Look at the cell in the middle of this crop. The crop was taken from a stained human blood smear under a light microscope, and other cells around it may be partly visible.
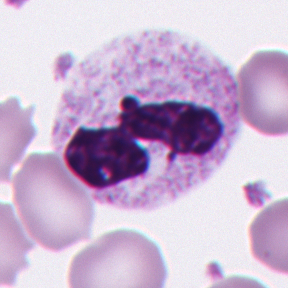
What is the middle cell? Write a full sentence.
In the center of this field lies a neutrophil.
